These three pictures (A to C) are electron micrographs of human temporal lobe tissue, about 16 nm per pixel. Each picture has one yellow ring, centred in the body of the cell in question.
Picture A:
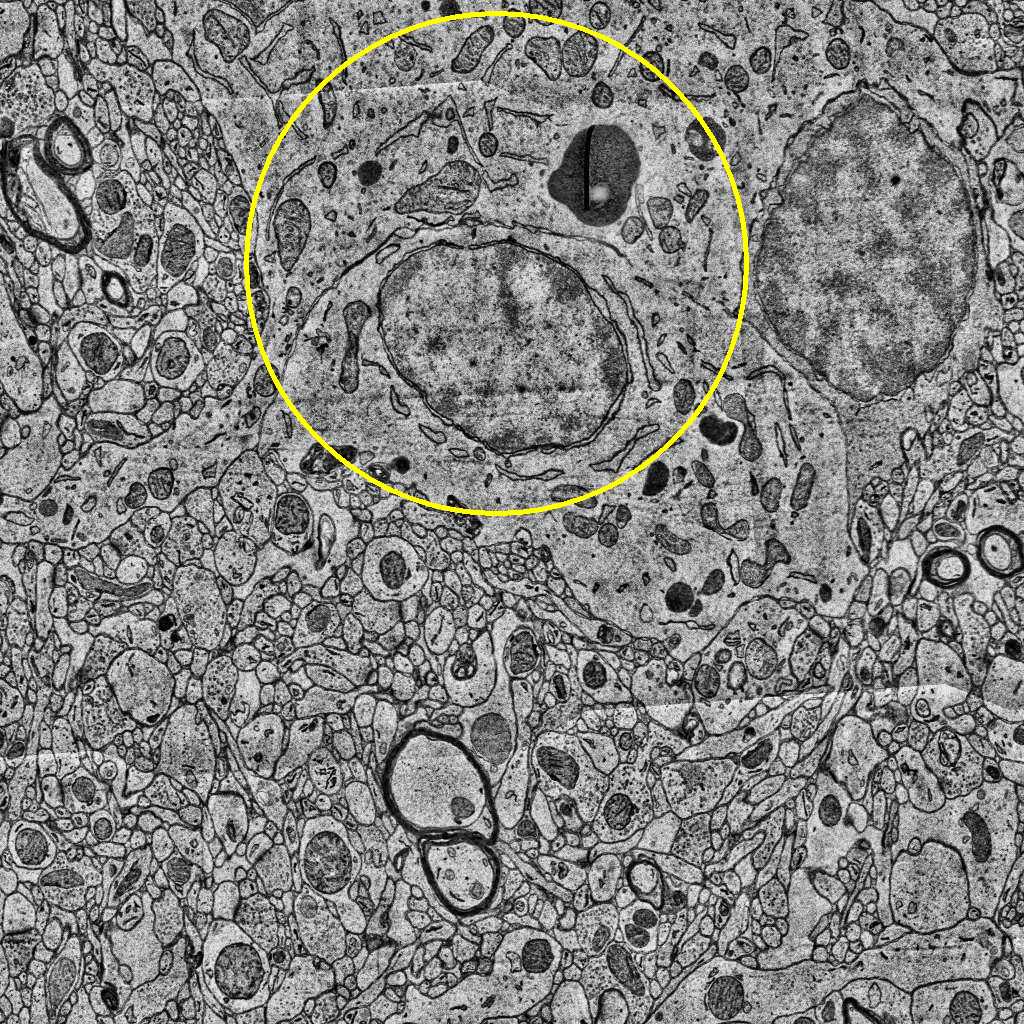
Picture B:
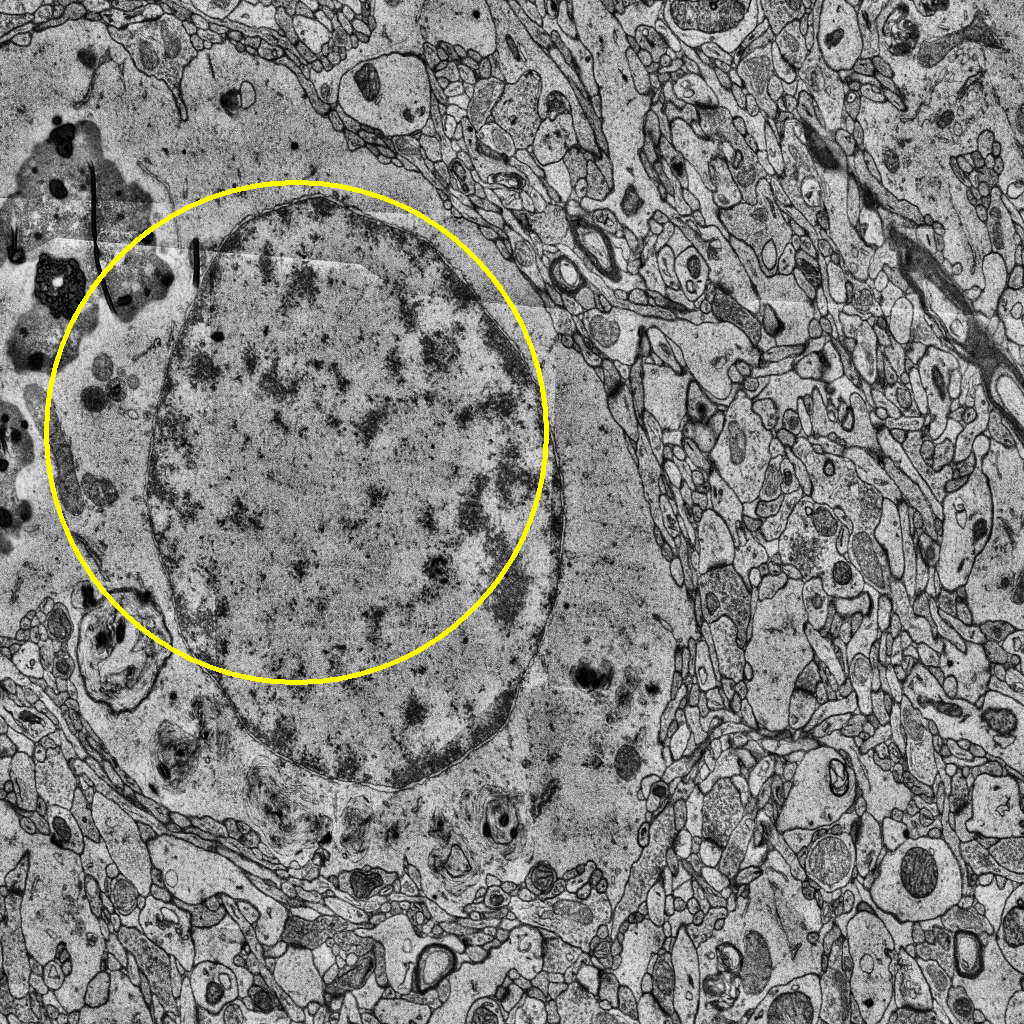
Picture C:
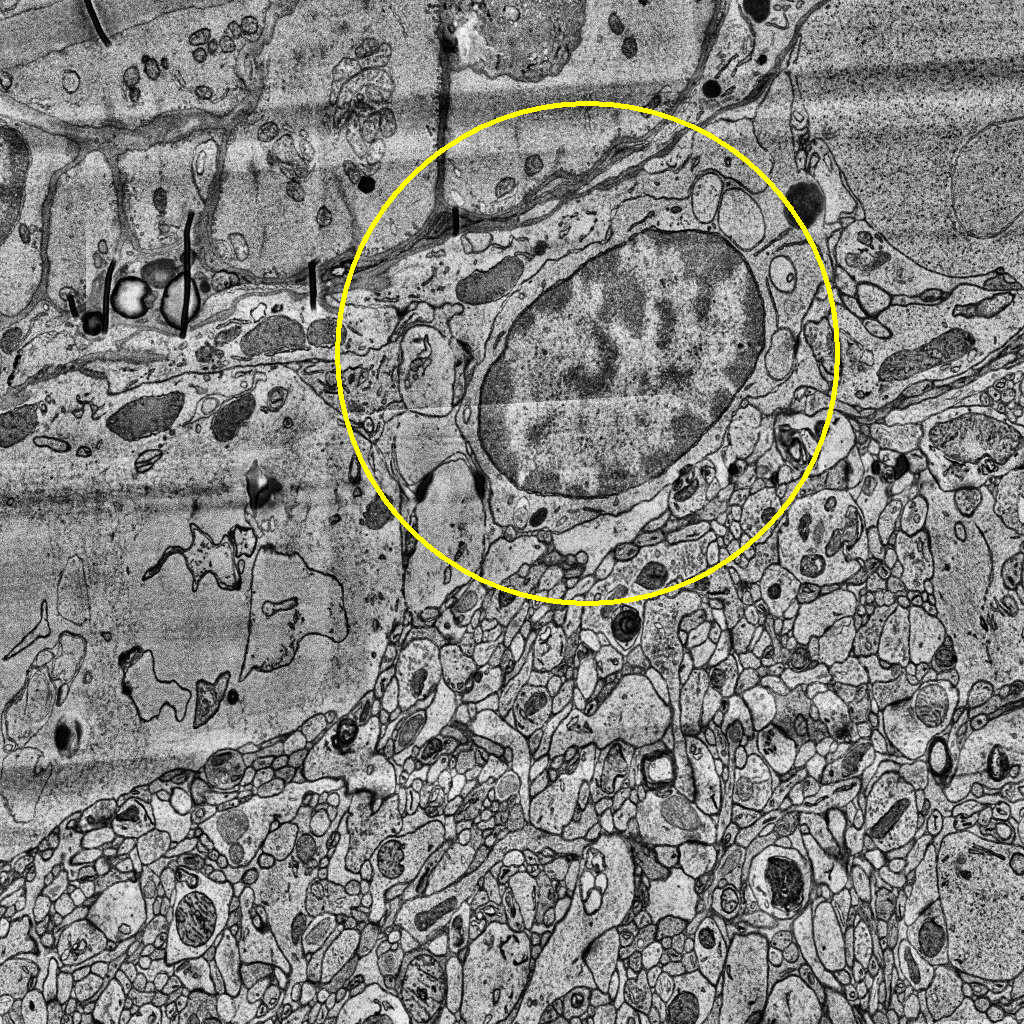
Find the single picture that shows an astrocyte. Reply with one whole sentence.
Picture B shows the astrocyte.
